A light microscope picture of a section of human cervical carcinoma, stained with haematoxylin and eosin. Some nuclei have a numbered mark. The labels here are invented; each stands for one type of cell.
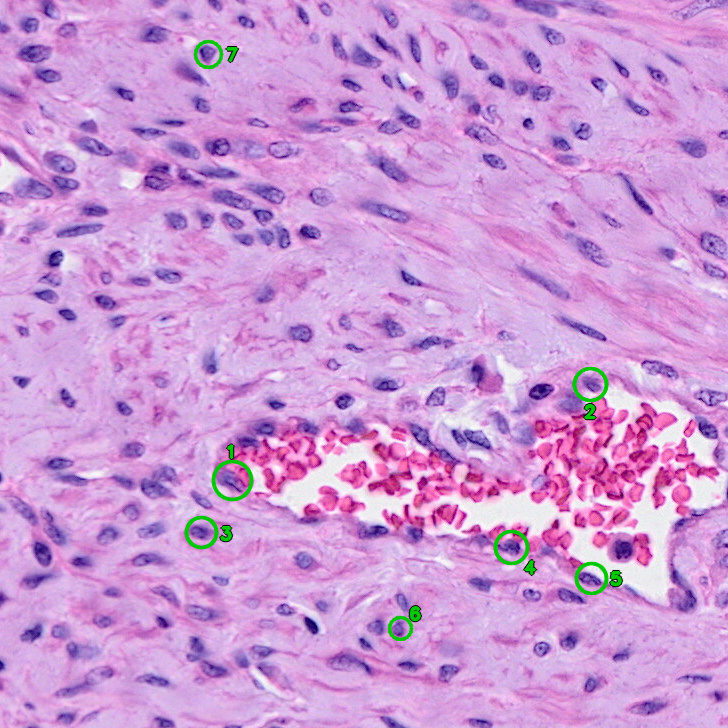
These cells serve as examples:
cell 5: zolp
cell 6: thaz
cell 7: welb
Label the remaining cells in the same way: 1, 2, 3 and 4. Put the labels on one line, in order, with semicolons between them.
zolp; zolp; thaz; zolp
